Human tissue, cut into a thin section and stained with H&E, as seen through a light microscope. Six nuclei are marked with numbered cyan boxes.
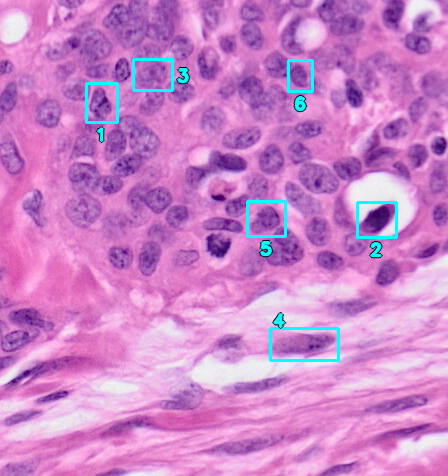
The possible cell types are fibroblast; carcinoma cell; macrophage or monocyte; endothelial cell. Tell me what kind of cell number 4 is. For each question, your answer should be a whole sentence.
The cell pointed out by number 4 is a fibroblast.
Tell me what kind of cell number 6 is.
The marked nucleus 6 is that of a carcinoma cell.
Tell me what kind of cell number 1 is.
The cell bearing label 1 corresponds to a macrophage or monocyte.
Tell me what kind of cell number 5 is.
Identified as a carcinoma cell is the cell bearing the number 5.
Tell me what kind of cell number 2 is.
In this section, number 2 marks a carcinoma cell.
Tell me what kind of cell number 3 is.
In the tissue shown, cell 3 is a carcinoma cell.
